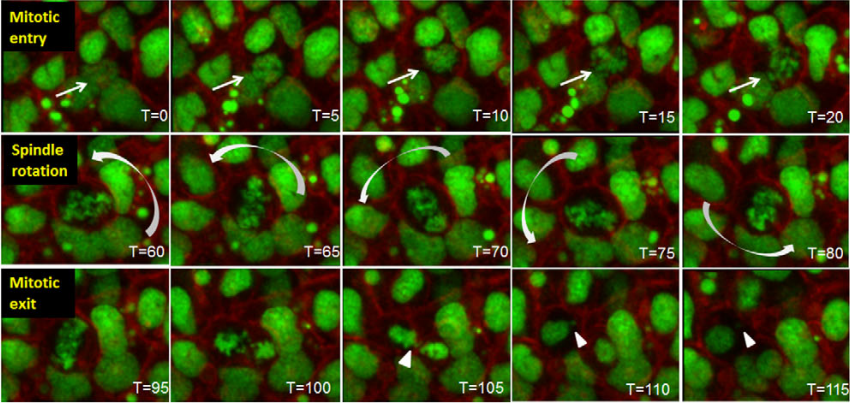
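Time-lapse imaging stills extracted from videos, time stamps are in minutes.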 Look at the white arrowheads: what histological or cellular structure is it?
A: Micronuclei.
